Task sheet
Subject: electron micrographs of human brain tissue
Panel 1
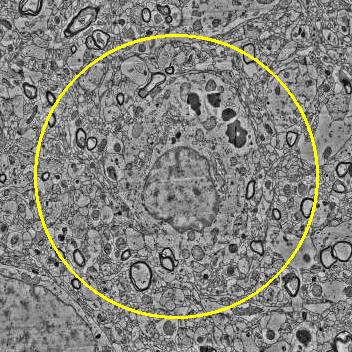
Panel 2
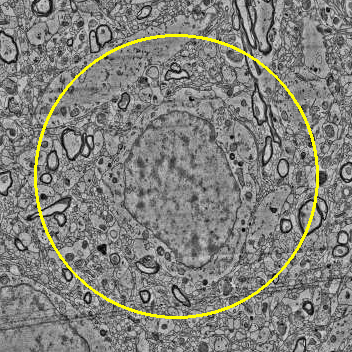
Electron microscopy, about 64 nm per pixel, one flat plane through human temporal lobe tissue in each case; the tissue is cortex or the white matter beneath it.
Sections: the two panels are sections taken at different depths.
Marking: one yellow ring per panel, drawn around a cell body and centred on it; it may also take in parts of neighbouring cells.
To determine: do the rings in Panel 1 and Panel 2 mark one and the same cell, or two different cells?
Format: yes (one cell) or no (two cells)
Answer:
yes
